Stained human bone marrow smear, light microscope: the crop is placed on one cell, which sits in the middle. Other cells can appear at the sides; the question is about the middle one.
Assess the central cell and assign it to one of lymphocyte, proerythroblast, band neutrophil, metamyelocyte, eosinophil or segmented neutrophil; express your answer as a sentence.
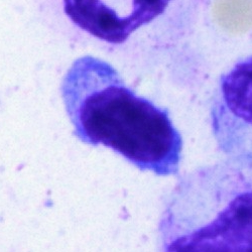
In the centre of this crop there is a lymphocyte.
